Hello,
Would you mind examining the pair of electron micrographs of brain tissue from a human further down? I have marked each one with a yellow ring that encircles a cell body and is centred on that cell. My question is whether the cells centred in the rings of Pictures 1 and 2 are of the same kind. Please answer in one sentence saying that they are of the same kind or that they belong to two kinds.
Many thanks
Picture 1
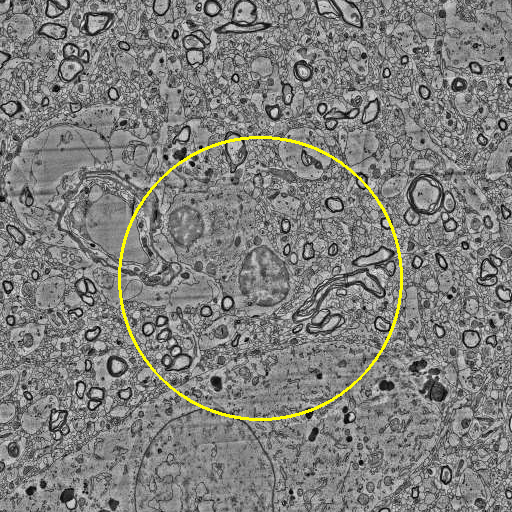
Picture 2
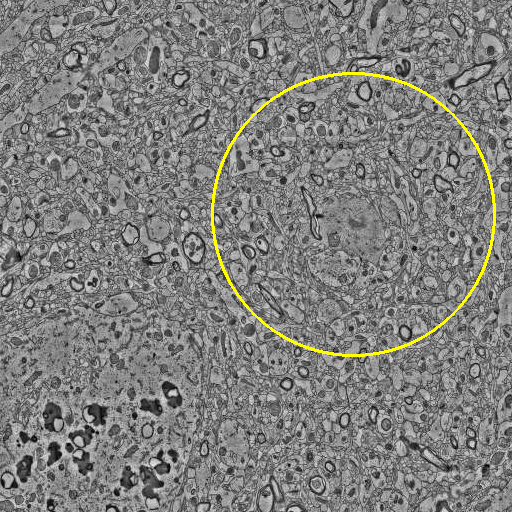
In Pictures 1 and 2, the cells at the heart of the rings are of the same kind.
